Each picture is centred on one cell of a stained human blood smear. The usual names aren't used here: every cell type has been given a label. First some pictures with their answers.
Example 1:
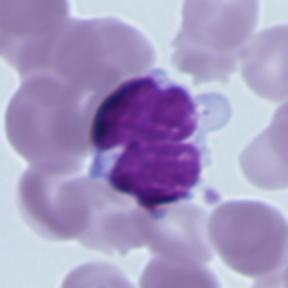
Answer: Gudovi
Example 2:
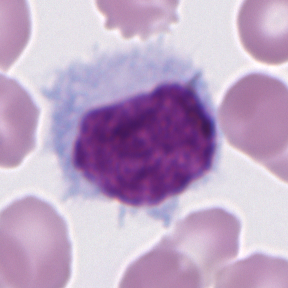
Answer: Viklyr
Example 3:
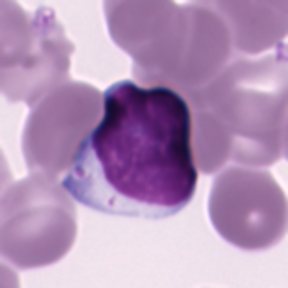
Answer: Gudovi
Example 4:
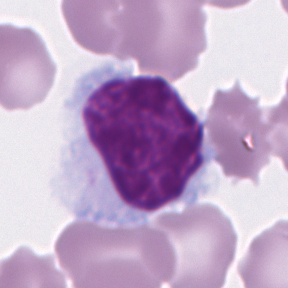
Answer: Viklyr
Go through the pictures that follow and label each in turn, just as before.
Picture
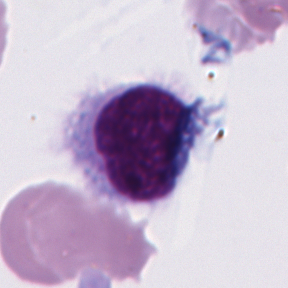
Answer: Viklyr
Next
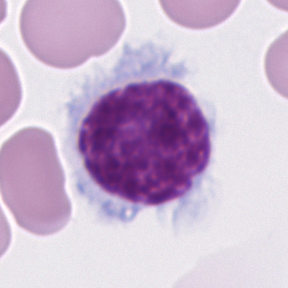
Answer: Viklyr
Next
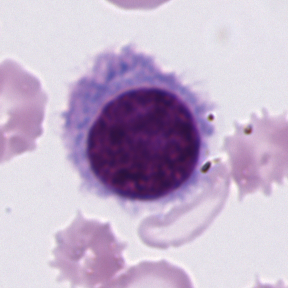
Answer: Viklyr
